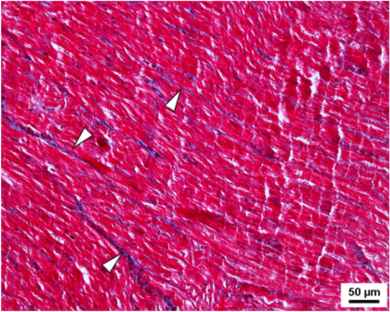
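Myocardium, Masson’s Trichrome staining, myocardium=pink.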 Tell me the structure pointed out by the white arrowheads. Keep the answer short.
Interstitial collagen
